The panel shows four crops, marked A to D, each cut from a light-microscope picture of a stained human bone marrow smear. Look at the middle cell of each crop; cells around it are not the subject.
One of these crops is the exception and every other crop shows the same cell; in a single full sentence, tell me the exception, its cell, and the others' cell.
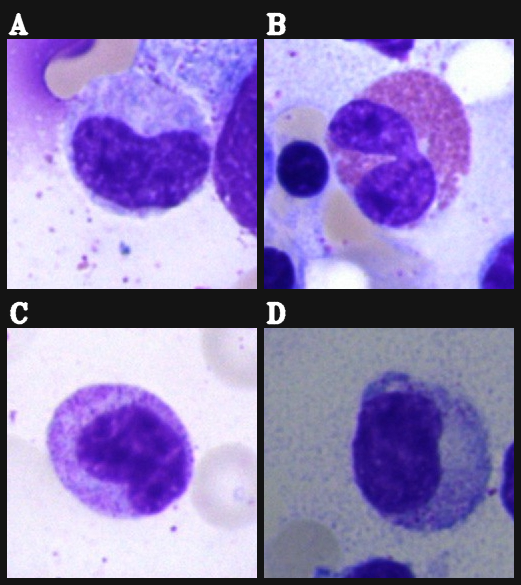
The central cell of crop B is an eosinophil, while the other crops show metamyelocytes.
